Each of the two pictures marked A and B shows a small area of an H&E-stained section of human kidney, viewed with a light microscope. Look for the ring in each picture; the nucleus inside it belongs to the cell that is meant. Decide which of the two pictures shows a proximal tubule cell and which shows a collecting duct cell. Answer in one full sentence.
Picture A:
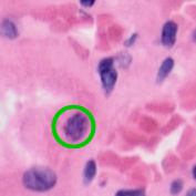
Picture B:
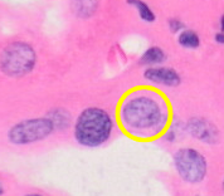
In picture A the cell is a proximal tubule cell; in picture B, a collecting duct cell.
